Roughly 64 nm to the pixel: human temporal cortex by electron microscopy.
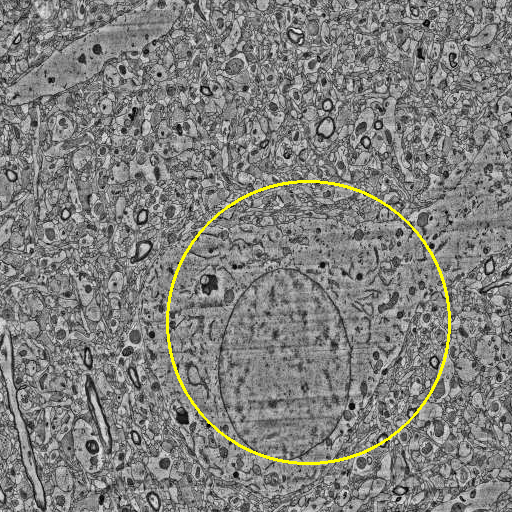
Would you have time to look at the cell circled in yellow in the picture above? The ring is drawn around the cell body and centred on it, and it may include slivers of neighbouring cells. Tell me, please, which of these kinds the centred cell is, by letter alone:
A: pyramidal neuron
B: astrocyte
A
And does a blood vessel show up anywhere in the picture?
No, no vessel appears in the picture.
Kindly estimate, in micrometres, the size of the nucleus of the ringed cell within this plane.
The nucleus measures about 12 by 9 micrometres in this plane.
